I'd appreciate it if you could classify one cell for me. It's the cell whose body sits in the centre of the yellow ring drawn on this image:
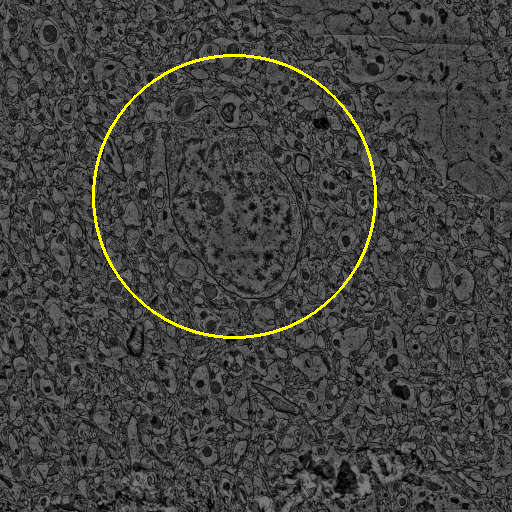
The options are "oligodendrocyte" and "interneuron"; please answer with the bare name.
interneuron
